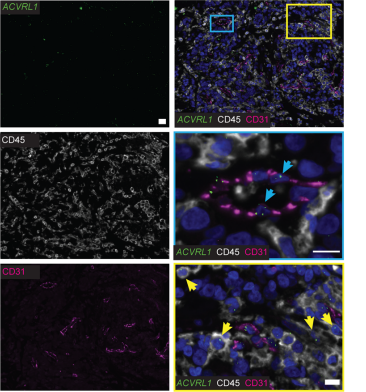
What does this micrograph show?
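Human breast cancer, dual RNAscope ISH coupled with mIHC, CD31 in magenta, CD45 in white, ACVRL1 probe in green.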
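Thin magenta-stained endothelial cells line narrow, elongated vessel-like channels scattered through the tissue. Small green dots are sparse and punctate. Single-channel views show the sparse green dots, a crowded network of white cell outlines, and a few scattered thin magenta profiles.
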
